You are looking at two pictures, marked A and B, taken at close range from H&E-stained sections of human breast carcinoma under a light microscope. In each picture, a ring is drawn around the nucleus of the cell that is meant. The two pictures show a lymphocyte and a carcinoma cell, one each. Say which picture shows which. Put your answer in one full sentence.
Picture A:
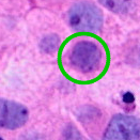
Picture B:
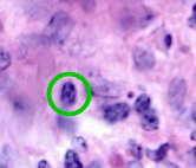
Picture A is of a carcinoma cell, and picture B is of a lymphocyte.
